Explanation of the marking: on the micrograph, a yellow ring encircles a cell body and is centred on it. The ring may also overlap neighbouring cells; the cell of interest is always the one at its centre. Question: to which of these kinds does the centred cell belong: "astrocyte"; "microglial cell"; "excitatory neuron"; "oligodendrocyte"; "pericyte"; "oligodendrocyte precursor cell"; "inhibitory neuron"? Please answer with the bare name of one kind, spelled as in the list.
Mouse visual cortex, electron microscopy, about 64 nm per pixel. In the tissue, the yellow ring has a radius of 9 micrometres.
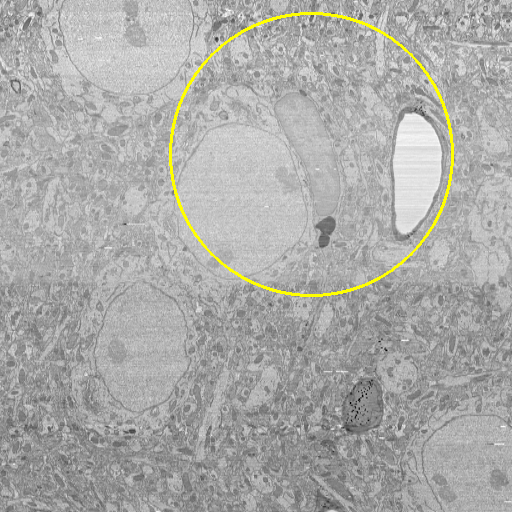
microglial cell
